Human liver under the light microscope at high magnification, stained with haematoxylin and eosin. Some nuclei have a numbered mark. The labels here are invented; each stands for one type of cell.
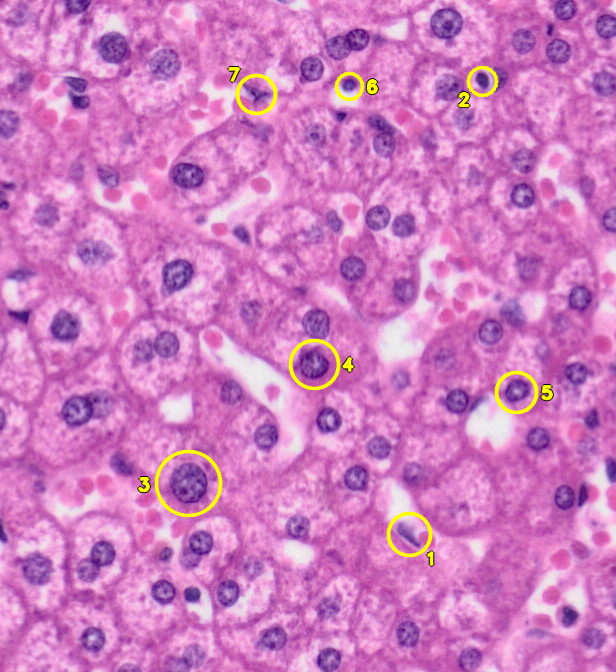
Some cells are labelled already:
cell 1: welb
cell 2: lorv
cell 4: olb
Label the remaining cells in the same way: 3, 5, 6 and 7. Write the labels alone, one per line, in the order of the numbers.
olb
olb
lorv
welb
